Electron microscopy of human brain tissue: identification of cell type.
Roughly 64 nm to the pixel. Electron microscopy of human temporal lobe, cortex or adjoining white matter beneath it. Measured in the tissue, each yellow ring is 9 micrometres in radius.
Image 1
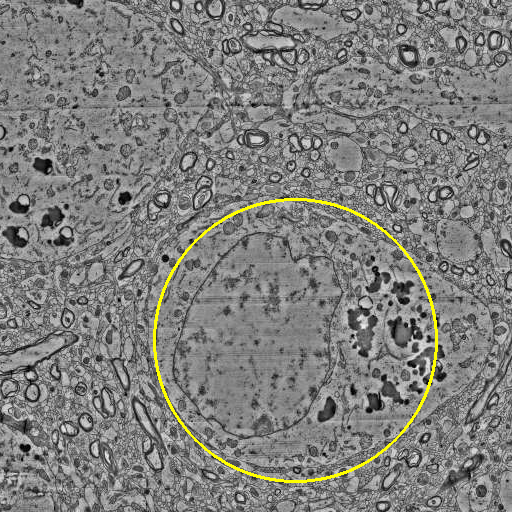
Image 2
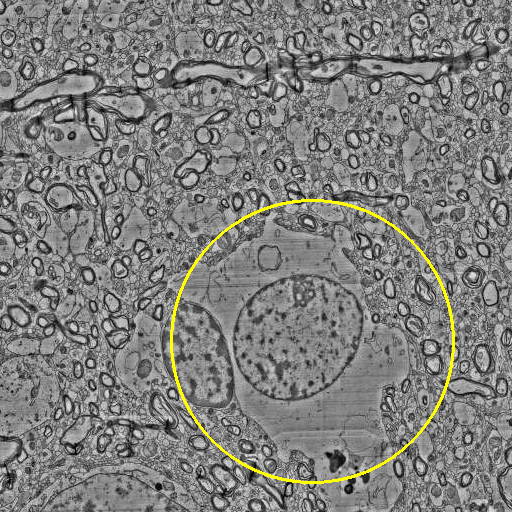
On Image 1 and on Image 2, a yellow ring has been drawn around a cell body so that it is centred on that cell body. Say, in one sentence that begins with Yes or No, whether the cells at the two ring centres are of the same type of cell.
No, the two cells are two separate types of cell.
